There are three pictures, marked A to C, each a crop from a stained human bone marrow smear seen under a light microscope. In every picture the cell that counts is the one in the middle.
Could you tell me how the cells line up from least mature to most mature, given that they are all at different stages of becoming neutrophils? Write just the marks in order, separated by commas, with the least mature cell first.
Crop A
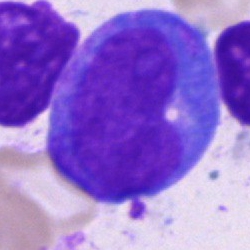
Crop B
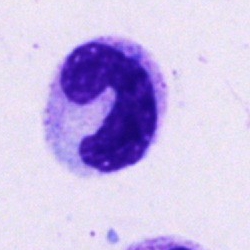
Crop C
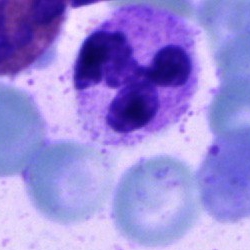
A, B, C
